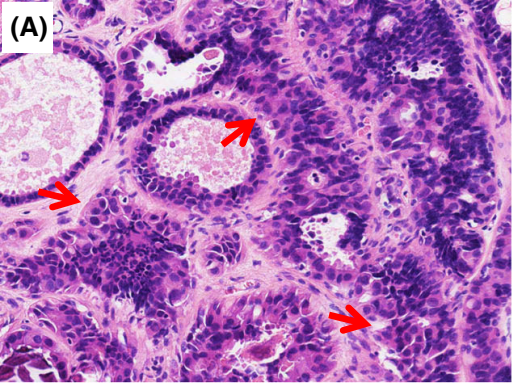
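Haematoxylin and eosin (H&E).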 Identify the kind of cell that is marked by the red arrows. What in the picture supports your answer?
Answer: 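The arrows point to cells at the outer edge of the duct epithelium. These cells are larger with paler pink cytoplasm than the dark columnar luminal cells. So: larger cells basal that had more prominent eosinophilic cytoplasm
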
